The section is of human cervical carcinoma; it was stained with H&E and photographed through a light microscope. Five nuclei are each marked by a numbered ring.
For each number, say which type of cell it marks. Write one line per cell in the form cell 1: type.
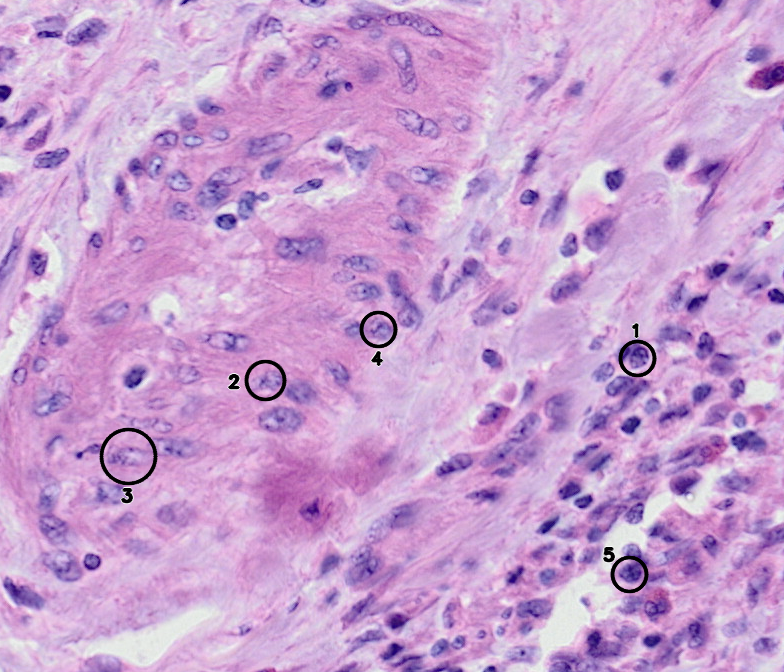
cell 1: lymphocyte
cell 2: smooth muscle cell
cell 3: smooth muscle cell
cell 4: smooth muscle cell
cell 5: lymphocyte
